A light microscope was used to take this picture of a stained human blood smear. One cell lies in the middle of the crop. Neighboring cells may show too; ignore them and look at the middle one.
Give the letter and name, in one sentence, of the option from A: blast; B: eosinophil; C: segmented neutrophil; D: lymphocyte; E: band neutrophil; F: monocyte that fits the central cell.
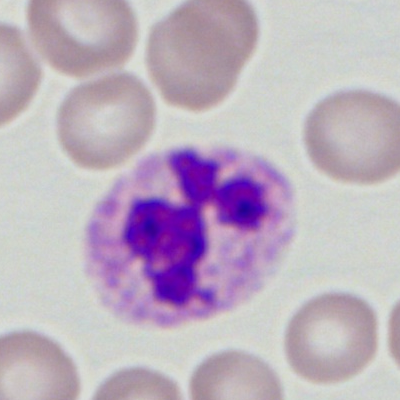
The right choice is option C: the cell in the middle is a segmented neutrophil.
